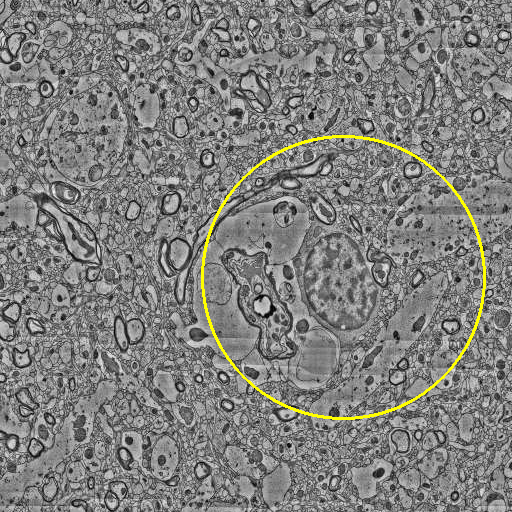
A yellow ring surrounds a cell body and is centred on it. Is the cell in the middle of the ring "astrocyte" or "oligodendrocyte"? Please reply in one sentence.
The ring is centred on an oligodendrocyte.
